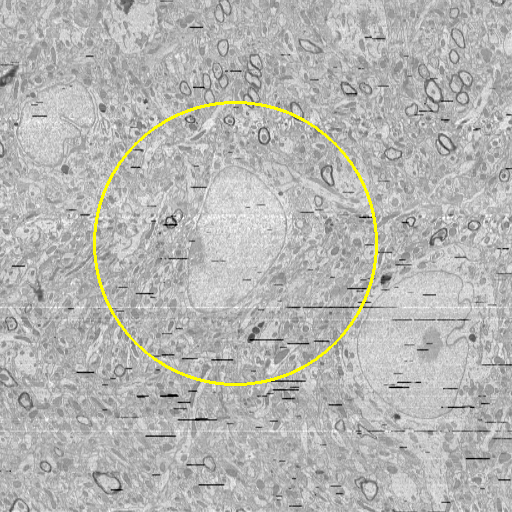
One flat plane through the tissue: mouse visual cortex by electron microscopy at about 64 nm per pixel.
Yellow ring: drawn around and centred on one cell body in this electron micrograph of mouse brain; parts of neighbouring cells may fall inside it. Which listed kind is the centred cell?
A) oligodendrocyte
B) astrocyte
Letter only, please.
B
